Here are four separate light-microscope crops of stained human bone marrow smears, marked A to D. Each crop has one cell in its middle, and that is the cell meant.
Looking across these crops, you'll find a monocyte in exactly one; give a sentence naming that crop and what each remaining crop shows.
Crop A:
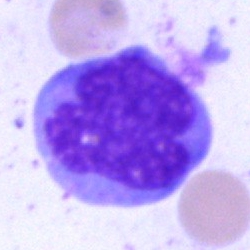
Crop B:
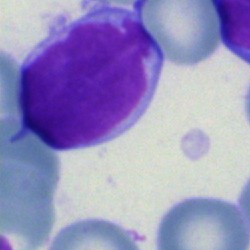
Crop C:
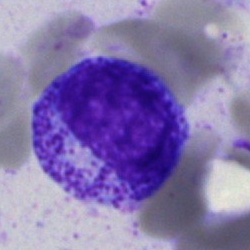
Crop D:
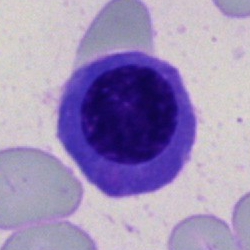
The crop marked A contains a monocyte, while crop B is a lymphocyte, crop C is a myelocyte and crop D is a normoblast.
